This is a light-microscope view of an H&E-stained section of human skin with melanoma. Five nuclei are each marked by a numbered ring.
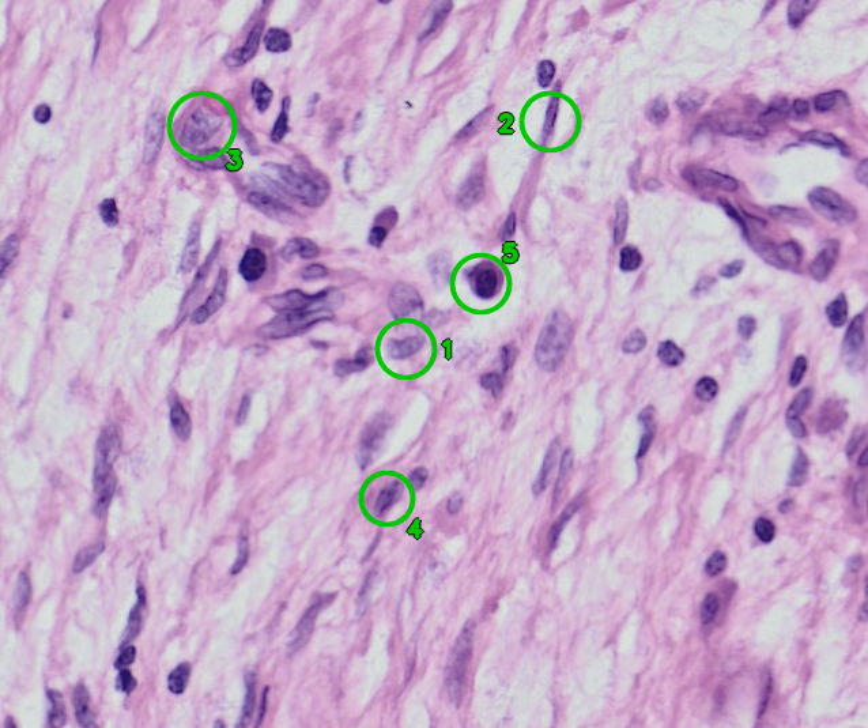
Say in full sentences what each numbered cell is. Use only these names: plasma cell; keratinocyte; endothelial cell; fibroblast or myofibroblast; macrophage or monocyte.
Cells 1 and 4 are macrophages or monocytes. Cell 2 is a fibroblast or myofibroblast. Cell 3 is an endothelial cell. Cell 5 is a plasma cell.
